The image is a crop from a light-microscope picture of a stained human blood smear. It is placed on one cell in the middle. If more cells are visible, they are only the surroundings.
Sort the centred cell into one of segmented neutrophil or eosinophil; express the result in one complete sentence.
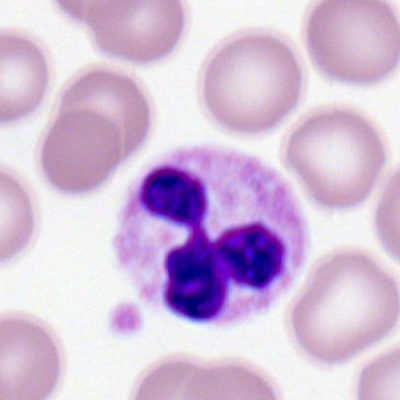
The cell at the middle of the crop is recognized as a segmented neutrophil.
